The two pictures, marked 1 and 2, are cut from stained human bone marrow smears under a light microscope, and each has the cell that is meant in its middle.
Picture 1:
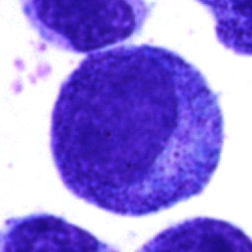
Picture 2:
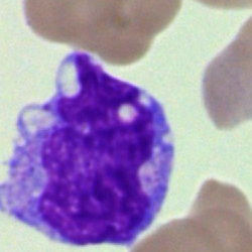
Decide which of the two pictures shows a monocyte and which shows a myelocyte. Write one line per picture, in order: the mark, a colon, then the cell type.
1: myelocyte
2: monocyte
